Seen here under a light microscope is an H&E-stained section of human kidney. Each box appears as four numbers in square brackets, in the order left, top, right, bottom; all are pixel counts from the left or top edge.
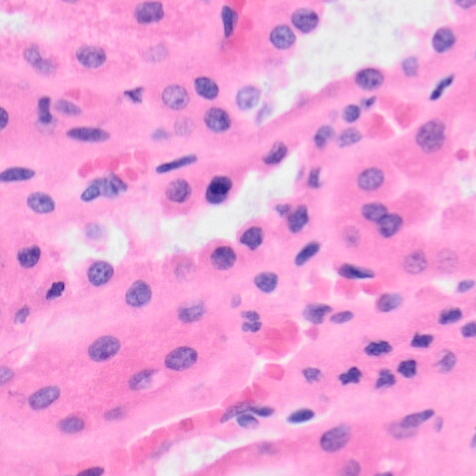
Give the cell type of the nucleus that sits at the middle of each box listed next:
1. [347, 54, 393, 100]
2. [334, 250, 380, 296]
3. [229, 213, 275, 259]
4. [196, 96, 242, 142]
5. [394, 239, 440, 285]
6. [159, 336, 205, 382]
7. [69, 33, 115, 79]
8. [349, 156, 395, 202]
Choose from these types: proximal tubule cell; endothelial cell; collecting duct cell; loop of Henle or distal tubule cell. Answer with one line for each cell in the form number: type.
1: loop of Henle or distal tubule cell
2: endothelial cell
3: loop of Henle or distal tubule cell
4: loop of Henle or distal tubule cell
5: proximal tubule cell
6: proximal tubule cell
7: proximal tubule cell
8: proximal tubule cell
